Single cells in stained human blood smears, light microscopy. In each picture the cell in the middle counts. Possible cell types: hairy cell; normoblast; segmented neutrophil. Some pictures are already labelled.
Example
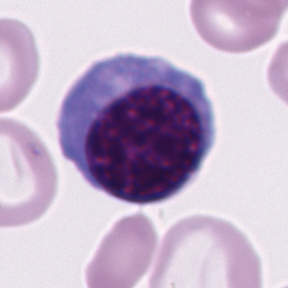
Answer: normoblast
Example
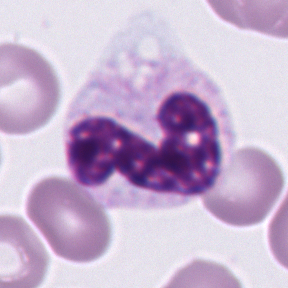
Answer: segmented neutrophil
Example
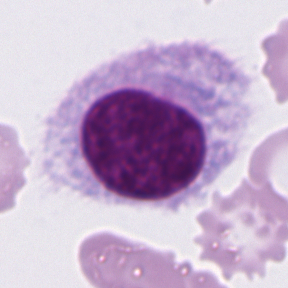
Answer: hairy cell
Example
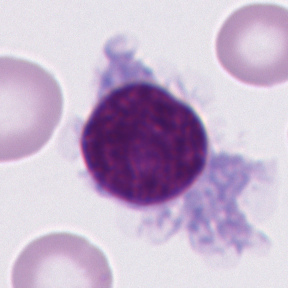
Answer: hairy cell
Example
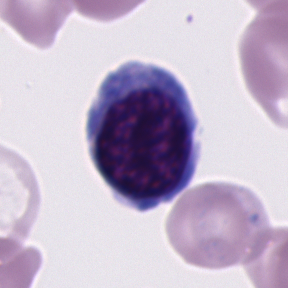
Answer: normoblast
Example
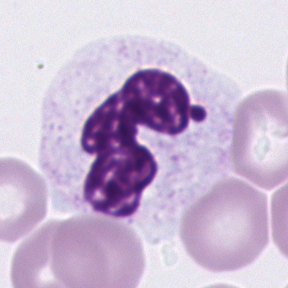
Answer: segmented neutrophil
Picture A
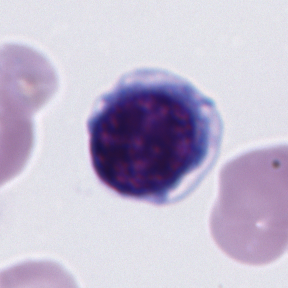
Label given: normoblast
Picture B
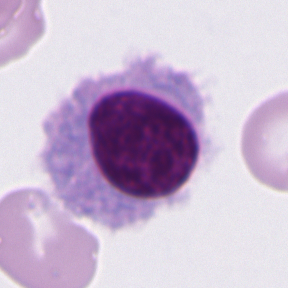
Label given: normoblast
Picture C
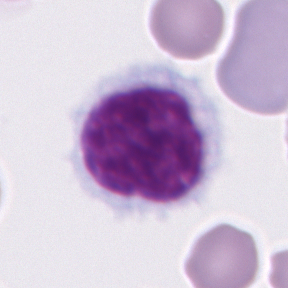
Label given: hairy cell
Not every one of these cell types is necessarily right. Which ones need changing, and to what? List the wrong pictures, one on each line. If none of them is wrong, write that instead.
B: hairy cell, not normoblast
